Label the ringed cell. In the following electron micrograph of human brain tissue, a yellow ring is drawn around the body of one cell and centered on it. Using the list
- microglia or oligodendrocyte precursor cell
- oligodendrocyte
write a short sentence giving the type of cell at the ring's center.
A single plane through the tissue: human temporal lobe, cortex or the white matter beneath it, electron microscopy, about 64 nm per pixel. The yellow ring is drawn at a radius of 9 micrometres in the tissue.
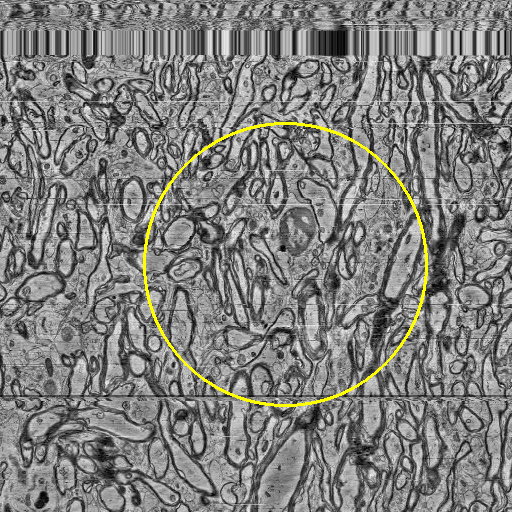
The cell body at the ring's center is that of a microglial cell or oligodendrocyte precursor cell.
